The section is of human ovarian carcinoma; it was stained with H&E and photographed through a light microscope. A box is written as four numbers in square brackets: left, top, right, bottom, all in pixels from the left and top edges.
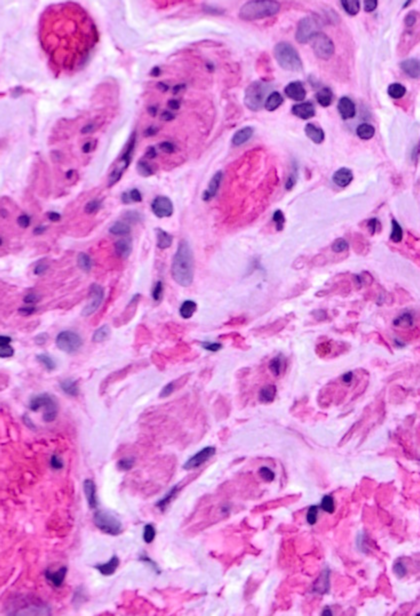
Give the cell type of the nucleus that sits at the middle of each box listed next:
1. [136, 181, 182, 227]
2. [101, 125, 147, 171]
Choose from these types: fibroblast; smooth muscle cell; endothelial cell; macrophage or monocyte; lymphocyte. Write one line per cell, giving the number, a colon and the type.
1: lymphocyte
2: smooth muscle cell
